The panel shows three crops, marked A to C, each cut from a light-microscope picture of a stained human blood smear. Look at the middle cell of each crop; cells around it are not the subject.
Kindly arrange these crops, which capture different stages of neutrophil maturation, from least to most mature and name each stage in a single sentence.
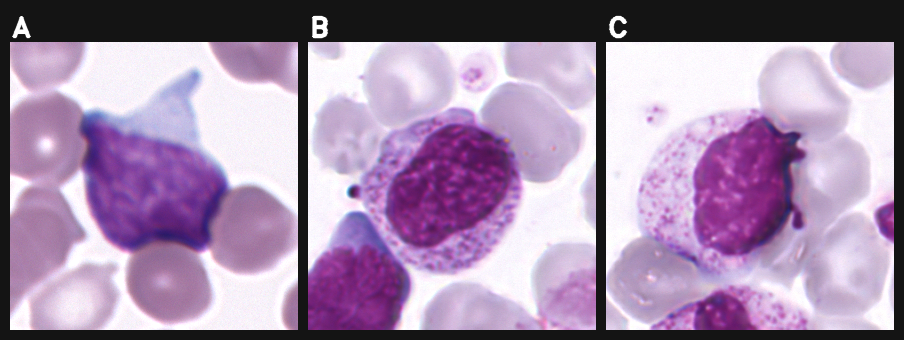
Least to most mature, the crops line up as crop A (a myeloblast), crop C (a myelocyte) and crop B (a metamyelocyte).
